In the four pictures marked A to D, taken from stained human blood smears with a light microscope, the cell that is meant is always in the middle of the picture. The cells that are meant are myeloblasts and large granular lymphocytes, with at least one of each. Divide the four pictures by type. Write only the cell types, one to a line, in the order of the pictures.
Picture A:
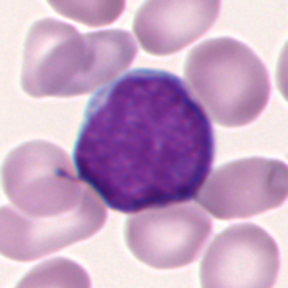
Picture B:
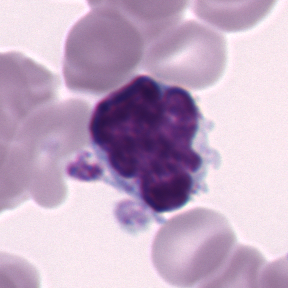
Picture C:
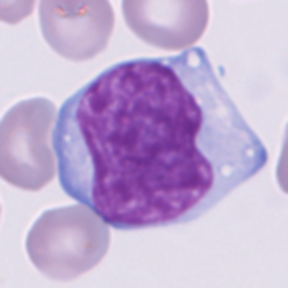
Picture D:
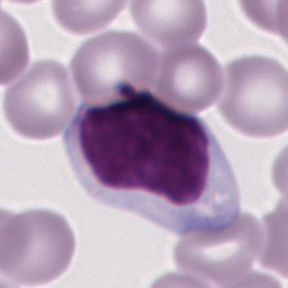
myeloblast
large granular lymphocyte
myeloblast
large granular lymphocyte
